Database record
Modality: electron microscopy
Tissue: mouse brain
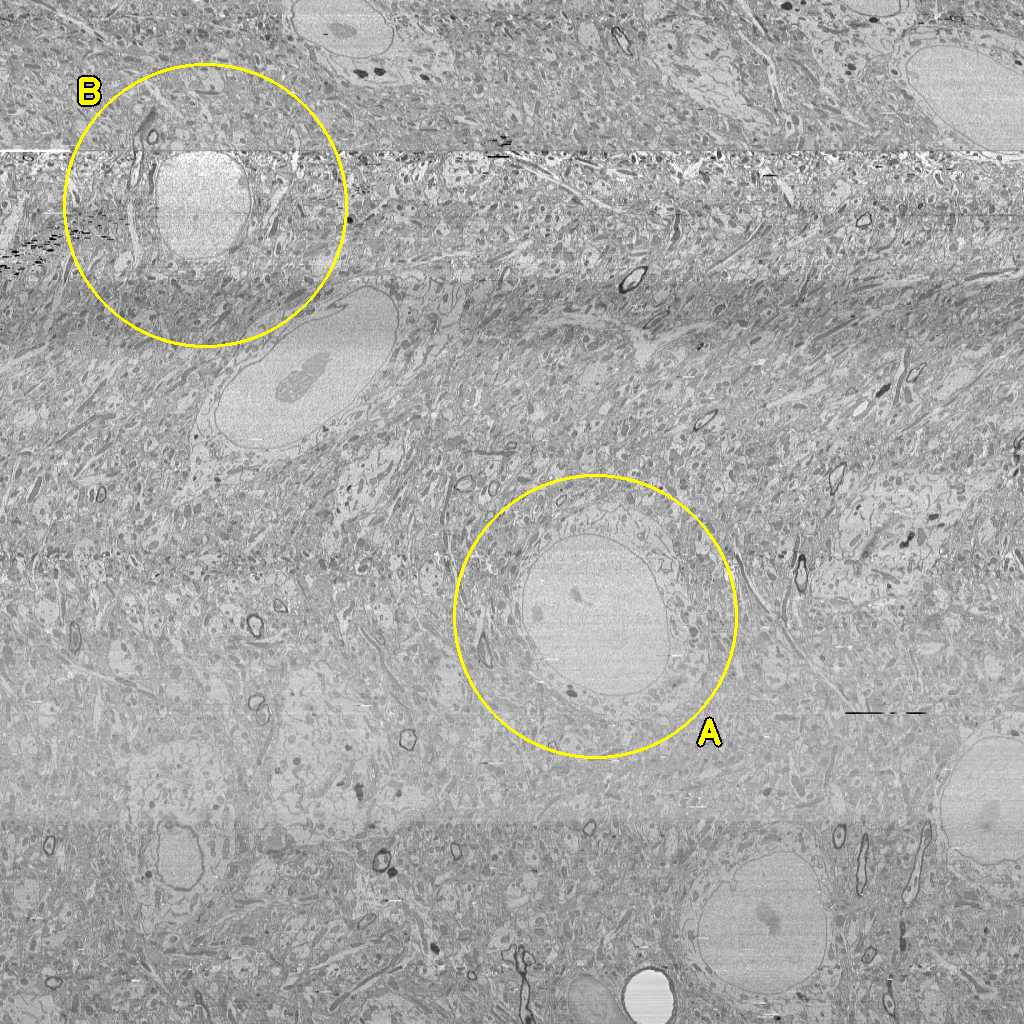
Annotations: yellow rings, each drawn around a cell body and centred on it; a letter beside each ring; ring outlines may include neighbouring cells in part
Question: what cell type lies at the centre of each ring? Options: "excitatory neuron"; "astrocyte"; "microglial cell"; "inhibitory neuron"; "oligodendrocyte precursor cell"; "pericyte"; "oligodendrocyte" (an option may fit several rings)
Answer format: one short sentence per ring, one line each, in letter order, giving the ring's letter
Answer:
Ring A corresponds to an excitatory neuron.
Ring B corresponds to an astrocyte.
